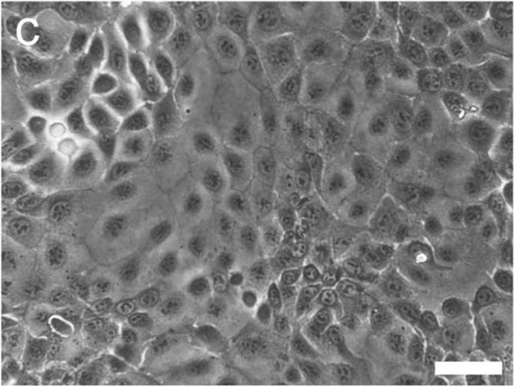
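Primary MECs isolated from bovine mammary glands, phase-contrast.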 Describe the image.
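Cell size varies, with larger flat cells in the upper middle and smaller, more tightly packed cells toward the lower right. A few round, bright refractile cells sit on the sheet.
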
